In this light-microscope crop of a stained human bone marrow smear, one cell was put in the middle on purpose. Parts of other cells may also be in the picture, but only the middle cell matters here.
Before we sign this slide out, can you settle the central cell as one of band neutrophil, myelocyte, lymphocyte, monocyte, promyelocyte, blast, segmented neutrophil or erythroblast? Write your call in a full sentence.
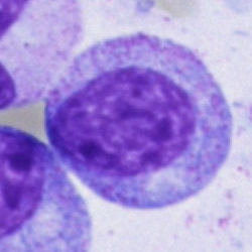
The middle of this crop holds a myelocyte.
